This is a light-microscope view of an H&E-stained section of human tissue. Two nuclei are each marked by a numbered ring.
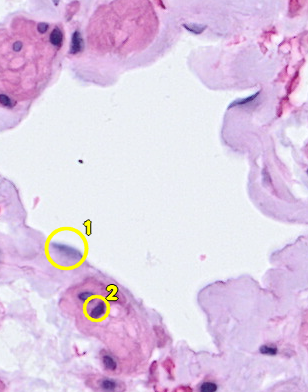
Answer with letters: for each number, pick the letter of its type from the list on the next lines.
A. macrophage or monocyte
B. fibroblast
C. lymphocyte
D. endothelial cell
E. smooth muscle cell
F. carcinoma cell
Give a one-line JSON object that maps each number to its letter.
{"1": "D", "2": "E"}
